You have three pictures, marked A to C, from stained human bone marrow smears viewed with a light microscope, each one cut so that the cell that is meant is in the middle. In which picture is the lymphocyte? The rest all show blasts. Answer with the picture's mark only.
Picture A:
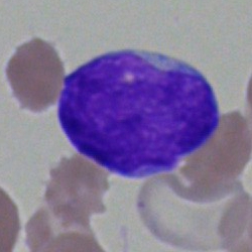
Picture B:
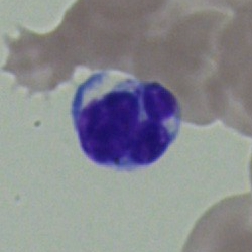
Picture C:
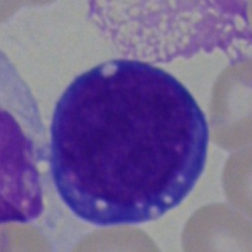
B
